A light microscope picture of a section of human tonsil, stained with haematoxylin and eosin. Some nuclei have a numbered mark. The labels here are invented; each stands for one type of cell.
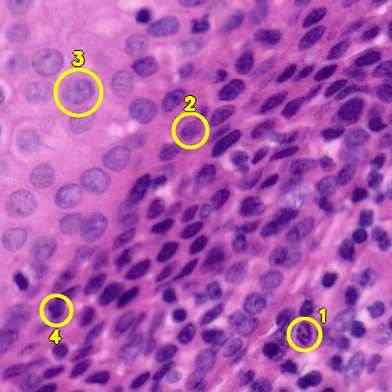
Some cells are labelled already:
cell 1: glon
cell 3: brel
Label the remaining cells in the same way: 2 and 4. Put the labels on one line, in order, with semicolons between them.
brel; brel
